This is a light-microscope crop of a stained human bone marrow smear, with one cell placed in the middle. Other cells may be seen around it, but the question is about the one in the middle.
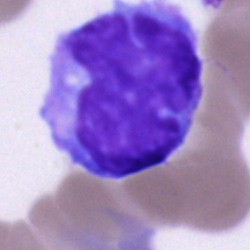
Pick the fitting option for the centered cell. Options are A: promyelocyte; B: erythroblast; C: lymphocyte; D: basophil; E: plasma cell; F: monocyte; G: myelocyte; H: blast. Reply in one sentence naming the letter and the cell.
The cell in the center of this crop is a monocyte, so option F is the one to pick.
